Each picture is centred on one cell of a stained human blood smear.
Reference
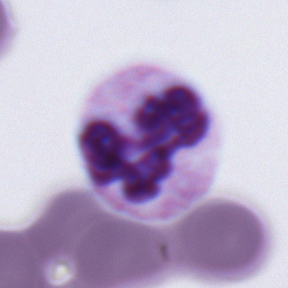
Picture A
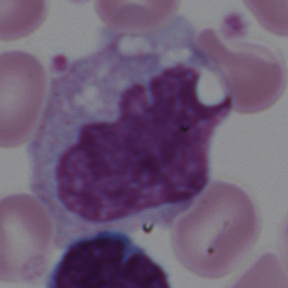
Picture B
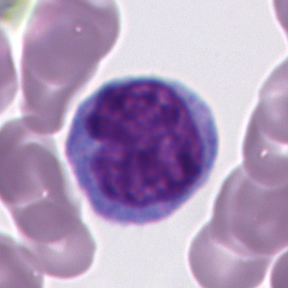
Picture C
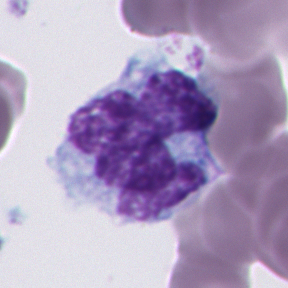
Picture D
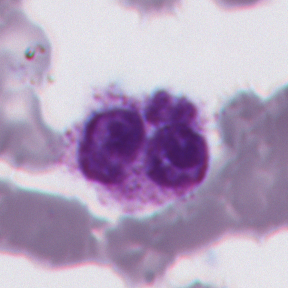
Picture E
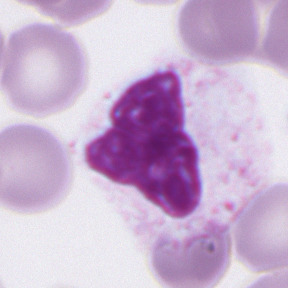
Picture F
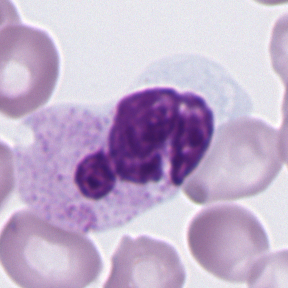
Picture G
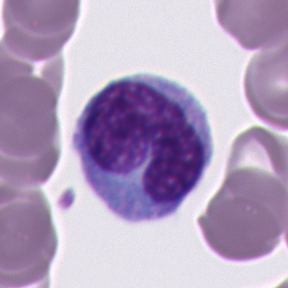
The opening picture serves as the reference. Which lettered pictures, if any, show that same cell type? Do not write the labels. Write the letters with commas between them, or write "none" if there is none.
D, E, F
